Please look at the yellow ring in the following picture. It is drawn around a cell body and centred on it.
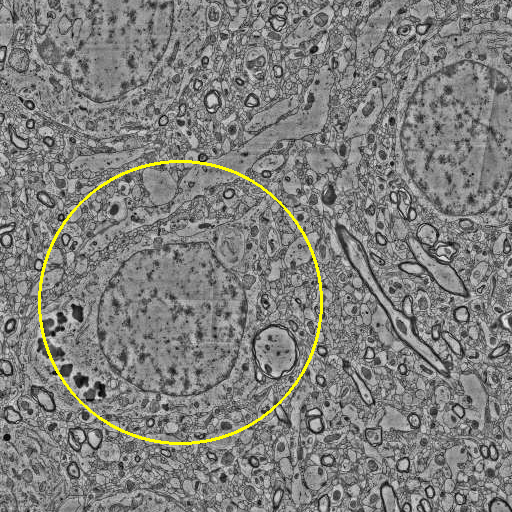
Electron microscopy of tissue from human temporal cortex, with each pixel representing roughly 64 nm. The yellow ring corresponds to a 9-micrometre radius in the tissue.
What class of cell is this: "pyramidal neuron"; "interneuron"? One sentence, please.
The ring surrounds the cell body of an interneuron.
